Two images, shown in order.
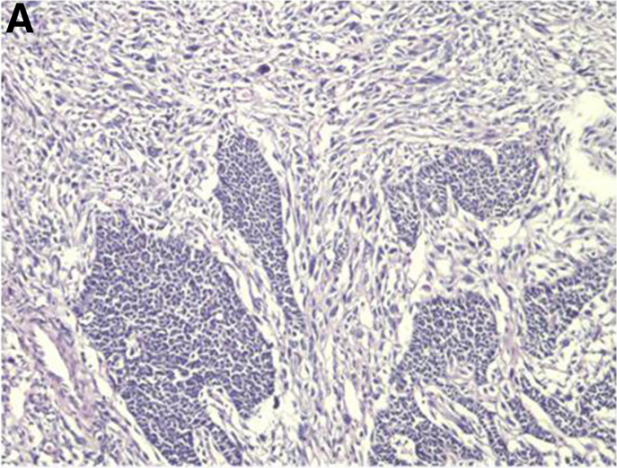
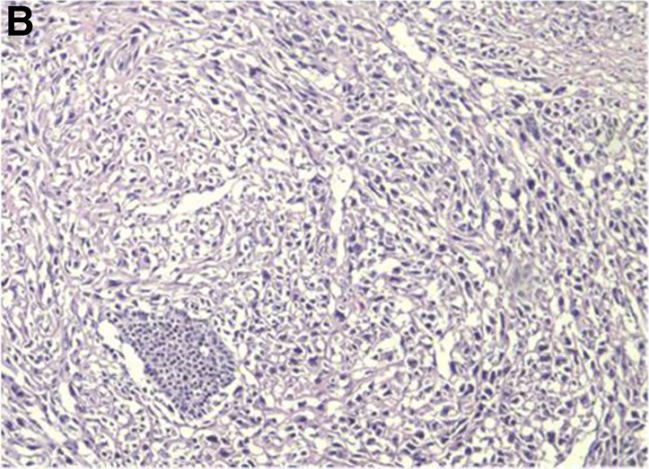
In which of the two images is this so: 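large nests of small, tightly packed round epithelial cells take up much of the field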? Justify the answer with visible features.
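Second image: spindle-cell stroma fills nearly the whole field with only one small nest of round cells. First image: several large dark nests of small round cells lie among the spindle cells.
The first image.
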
